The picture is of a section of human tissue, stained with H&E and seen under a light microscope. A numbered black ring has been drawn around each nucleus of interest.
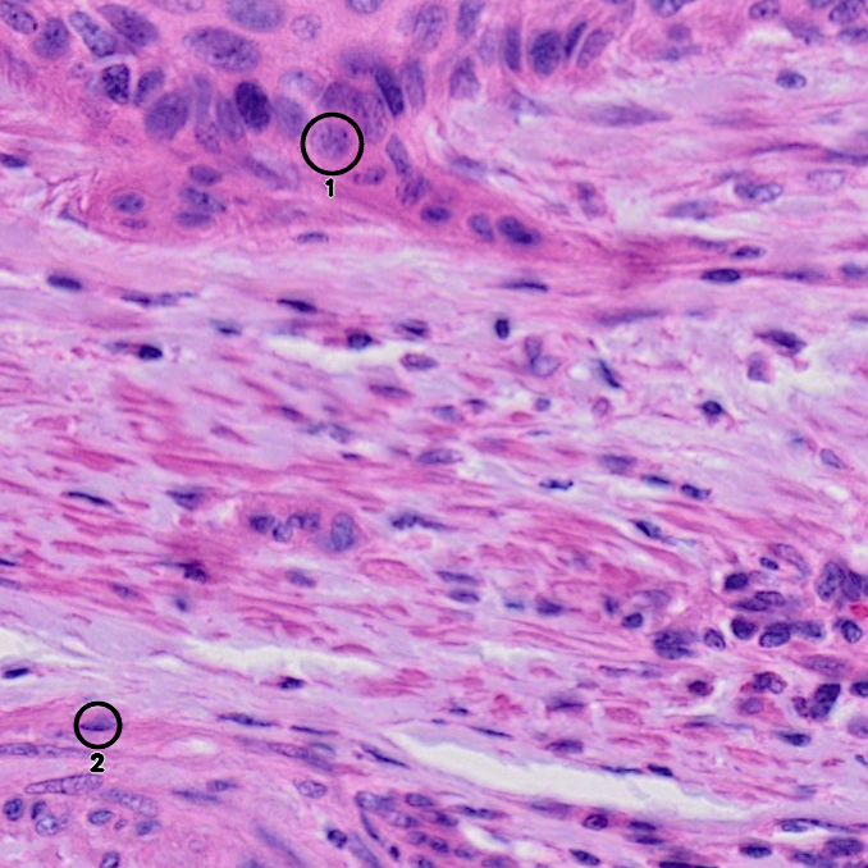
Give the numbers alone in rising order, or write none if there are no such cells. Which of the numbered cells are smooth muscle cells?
2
